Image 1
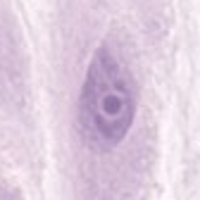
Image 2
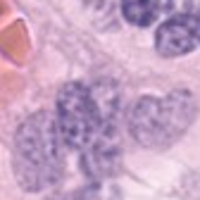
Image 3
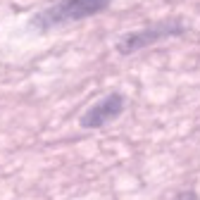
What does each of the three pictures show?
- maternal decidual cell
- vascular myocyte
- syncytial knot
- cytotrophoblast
1. maternal decidual cell
2. syncytial knot
3. vascular myocyte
